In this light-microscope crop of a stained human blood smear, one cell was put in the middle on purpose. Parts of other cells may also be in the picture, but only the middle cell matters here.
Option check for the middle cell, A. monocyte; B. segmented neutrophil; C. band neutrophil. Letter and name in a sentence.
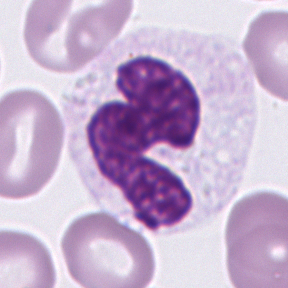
In this crop the middle cell is a segmented neutrophil, so option B is the correct answer.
